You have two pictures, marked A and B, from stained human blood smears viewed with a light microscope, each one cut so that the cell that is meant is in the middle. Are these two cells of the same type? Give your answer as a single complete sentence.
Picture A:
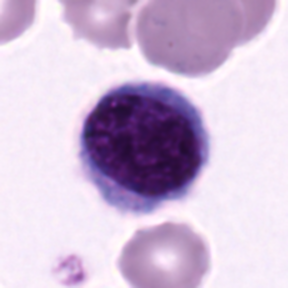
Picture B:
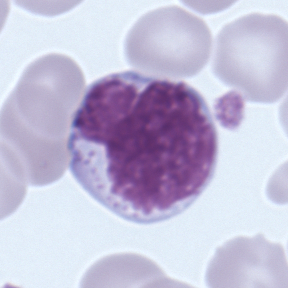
No, the types are not the same, since picture A shows a plasma cell and picture B a large granular lymphocyte.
